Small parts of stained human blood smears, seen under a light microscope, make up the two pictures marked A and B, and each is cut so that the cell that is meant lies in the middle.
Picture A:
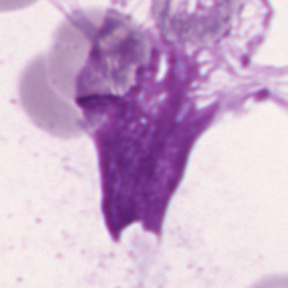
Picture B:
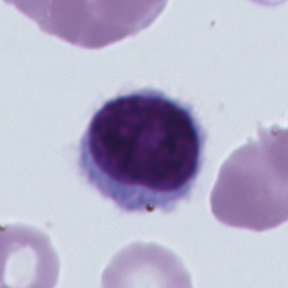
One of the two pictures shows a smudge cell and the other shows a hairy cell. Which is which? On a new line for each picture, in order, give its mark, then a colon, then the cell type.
A: smudge cell
B: hairy cell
